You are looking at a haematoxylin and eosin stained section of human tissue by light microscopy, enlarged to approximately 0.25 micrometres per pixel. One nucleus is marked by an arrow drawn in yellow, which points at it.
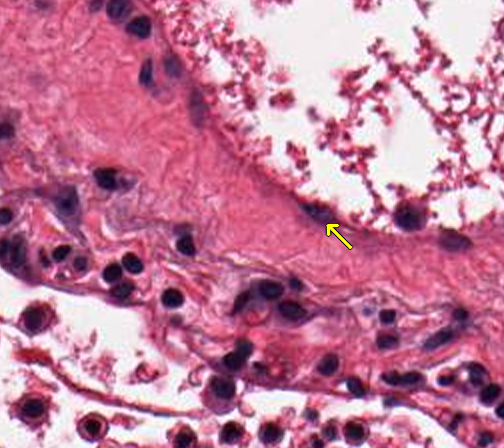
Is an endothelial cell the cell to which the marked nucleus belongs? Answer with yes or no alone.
yes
